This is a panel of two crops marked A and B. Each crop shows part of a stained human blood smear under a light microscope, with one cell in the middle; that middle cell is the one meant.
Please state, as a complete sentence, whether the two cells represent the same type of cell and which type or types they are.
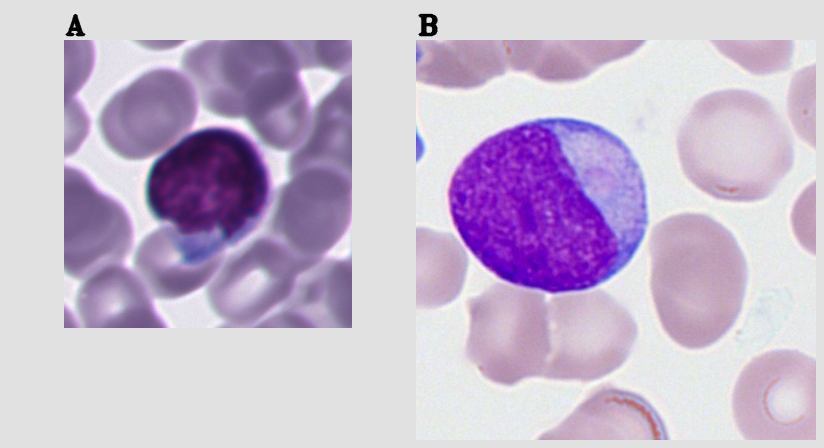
No, in crop A the cell is a lymphocyte, and in crop B it is a blast.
